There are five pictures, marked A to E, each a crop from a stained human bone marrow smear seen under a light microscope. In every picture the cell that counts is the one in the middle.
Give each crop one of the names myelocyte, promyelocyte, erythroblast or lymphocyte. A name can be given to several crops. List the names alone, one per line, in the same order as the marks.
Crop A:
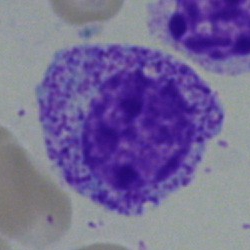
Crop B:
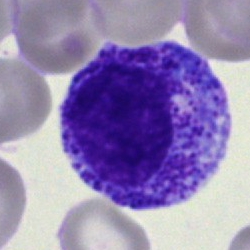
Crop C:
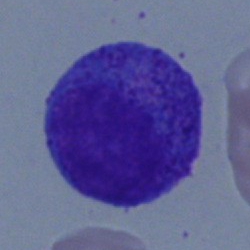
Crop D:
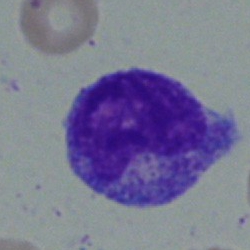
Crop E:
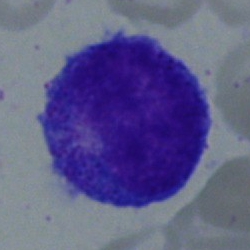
myelocyte
myelocyte
promyelocyte
myelocyte
promyelocyte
